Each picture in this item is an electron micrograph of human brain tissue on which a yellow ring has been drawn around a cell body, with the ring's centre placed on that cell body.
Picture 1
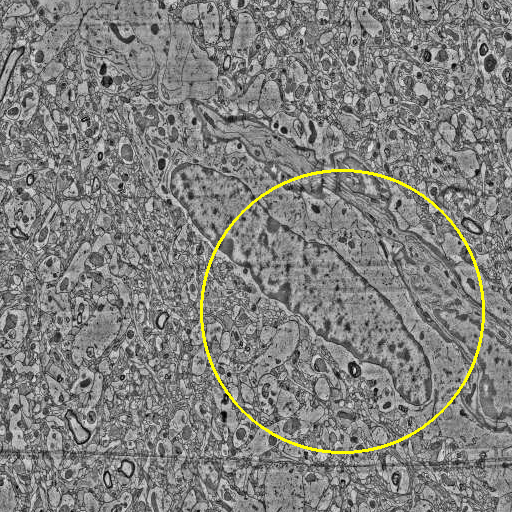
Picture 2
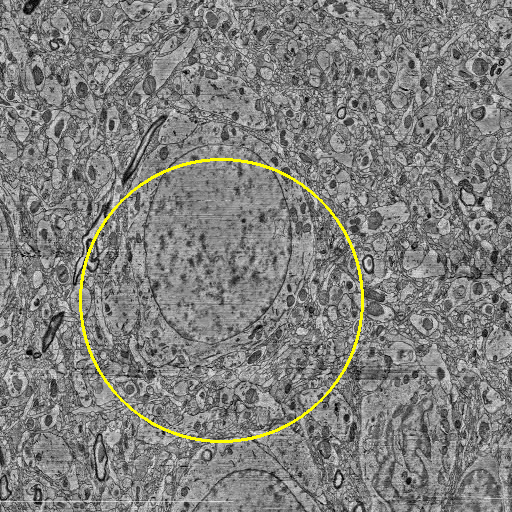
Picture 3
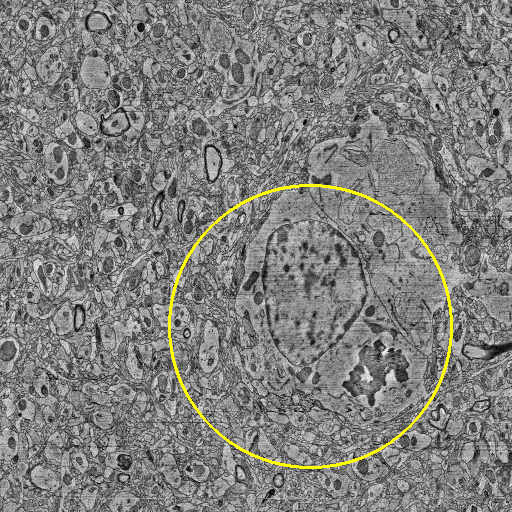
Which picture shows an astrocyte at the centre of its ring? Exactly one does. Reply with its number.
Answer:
3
